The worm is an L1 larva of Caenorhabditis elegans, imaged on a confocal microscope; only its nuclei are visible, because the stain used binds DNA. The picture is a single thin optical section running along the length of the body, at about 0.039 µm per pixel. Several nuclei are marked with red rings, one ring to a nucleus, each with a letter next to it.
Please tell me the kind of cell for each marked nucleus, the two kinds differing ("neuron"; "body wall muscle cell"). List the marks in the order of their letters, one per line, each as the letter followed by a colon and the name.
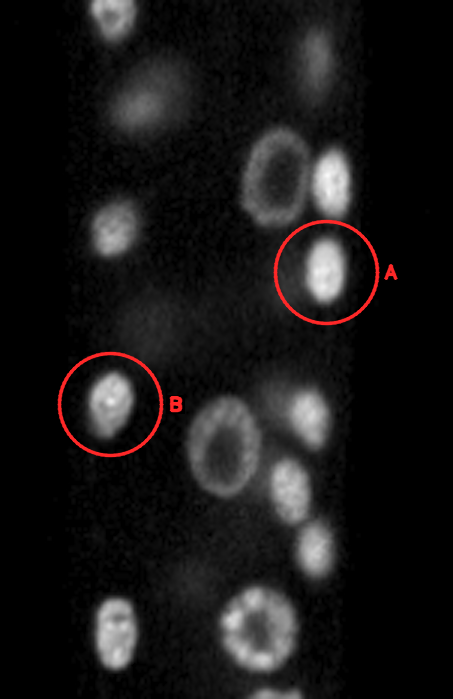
A: neuron
B: body wall muscle cell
